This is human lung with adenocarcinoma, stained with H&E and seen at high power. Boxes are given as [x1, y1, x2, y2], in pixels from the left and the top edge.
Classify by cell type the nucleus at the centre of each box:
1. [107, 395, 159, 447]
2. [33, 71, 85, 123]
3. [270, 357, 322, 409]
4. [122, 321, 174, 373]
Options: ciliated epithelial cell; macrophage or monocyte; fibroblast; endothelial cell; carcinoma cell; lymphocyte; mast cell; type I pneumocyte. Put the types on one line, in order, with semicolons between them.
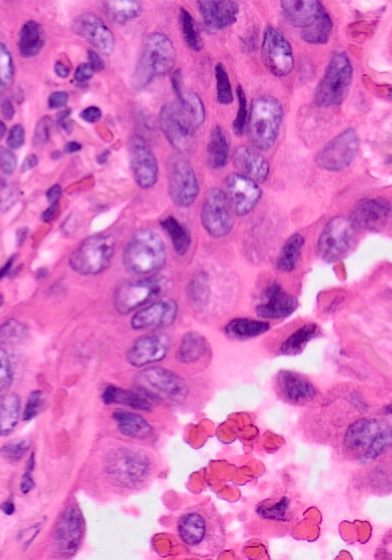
carcinoma cell; lymphocyte; carcinoma cell; carcinoma cell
